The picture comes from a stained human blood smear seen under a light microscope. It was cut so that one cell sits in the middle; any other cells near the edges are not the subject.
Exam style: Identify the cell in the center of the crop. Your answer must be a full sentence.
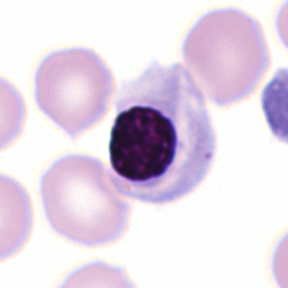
The centrally placed cell is classified as a normoblast.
